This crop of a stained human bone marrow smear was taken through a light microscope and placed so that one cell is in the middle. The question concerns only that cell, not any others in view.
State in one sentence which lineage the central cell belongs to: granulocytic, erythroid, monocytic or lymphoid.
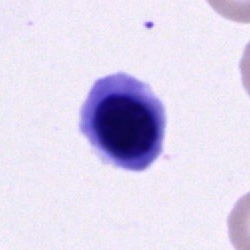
The middle cell of the crop arises from the erythroid lineage.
